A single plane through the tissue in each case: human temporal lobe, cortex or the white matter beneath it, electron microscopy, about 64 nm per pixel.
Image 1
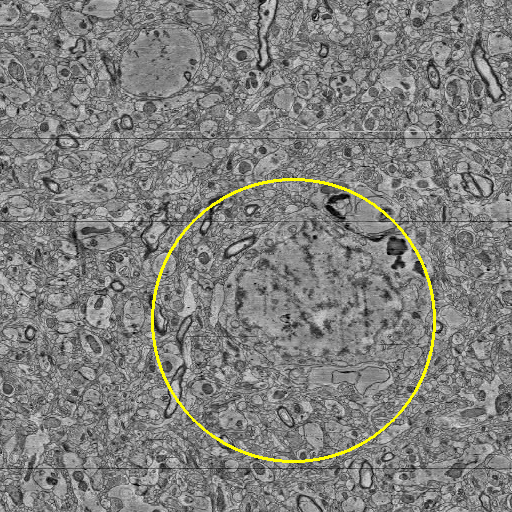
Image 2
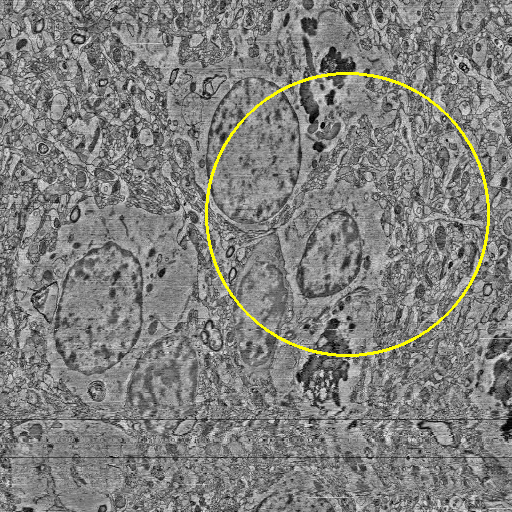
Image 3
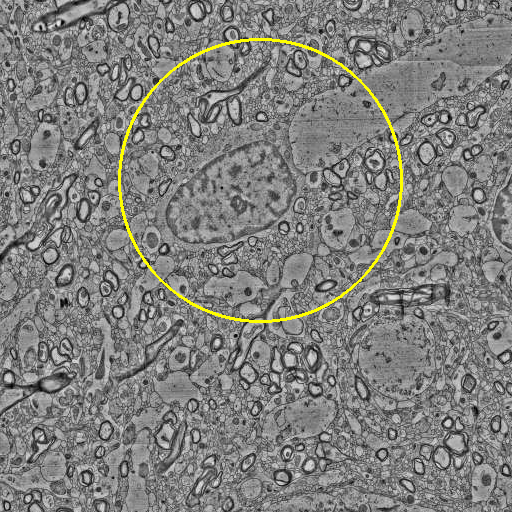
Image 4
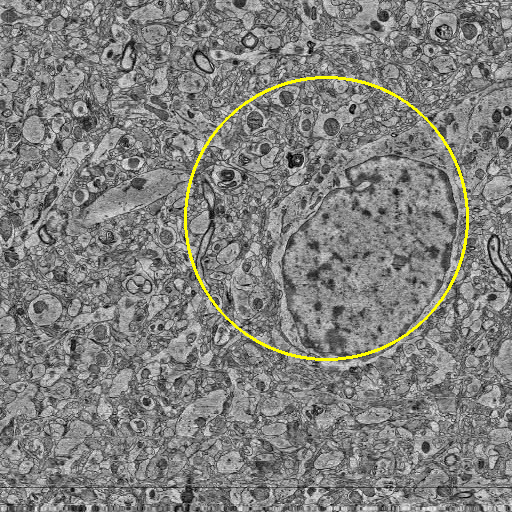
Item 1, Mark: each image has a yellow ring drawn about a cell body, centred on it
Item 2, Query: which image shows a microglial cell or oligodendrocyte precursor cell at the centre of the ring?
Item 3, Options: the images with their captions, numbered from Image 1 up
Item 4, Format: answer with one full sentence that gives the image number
My answer is image 4, where the cell at the ring's centre fits.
